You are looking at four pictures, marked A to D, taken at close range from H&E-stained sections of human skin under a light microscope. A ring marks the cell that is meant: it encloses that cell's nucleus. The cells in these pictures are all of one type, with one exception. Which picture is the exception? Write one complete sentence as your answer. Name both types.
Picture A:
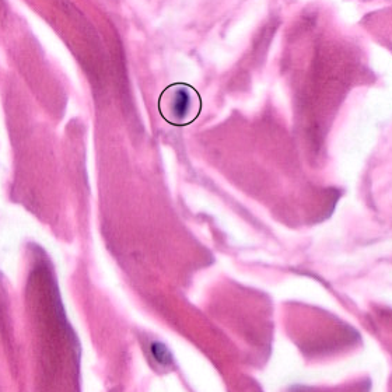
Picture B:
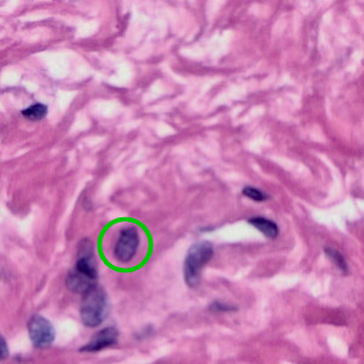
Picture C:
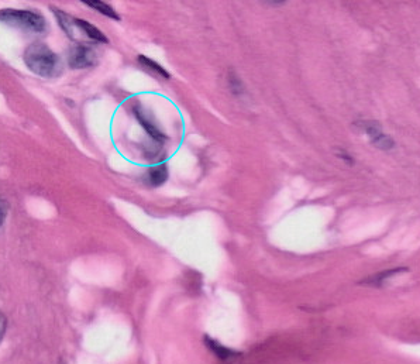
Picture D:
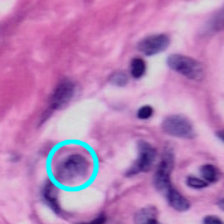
The others show endothelial cells, but picture A shows a fibroblast.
